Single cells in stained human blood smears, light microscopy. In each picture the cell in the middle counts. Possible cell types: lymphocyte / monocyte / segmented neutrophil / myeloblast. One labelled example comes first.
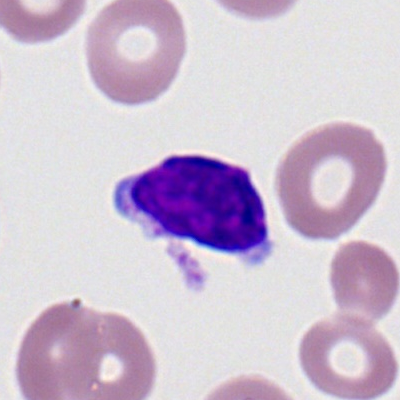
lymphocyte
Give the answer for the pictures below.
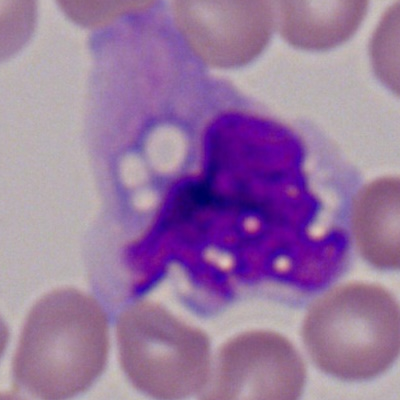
monocyte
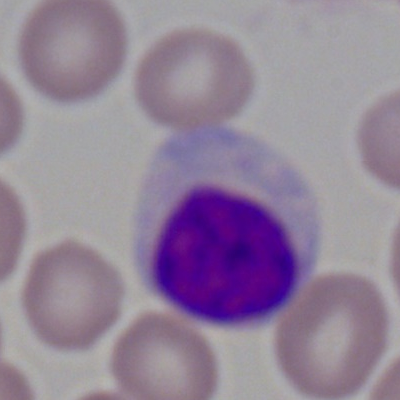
lymphocyte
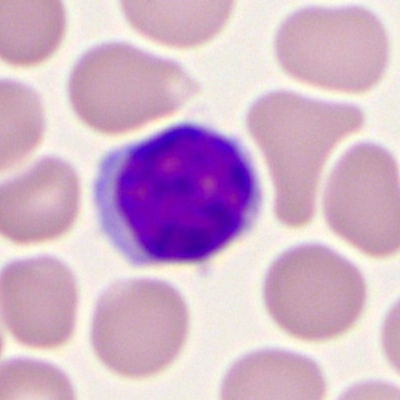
lymphocyte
